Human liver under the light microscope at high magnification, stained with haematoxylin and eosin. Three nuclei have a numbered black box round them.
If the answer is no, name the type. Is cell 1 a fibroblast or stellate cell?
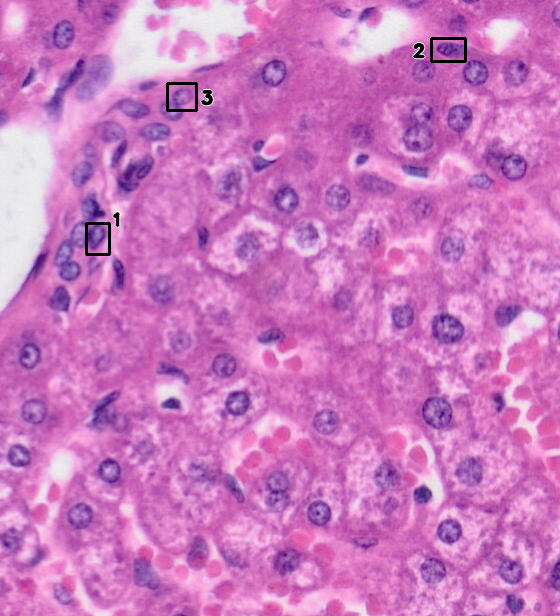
No, it is a cholangiocyte.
